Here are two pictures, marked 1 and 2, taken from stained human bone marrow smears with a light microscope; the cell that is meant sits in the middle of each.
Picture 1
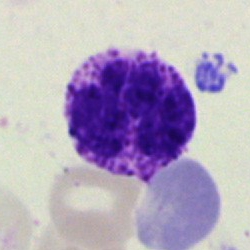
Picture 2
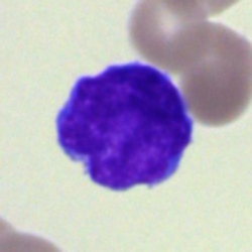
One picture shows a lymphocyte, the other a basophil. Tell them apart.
1: basophil
2: lymphocyte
